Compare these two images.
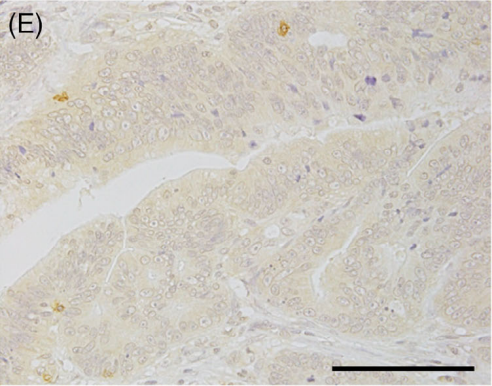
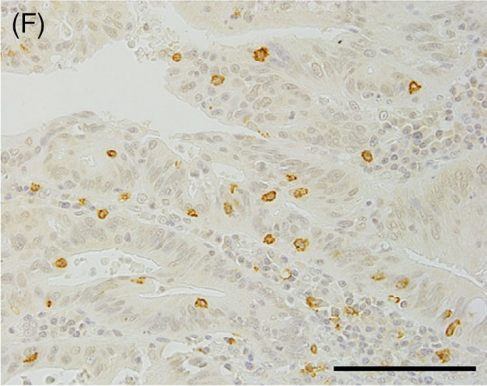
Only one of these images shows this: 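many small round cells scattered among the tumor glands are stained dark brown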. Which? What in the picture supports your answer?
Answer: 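The second image. Second image: numerous small, round, dark brown cells are scattered among the tumor epithelium and stroma. First image: only a few isolated dark brown cells are present.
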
